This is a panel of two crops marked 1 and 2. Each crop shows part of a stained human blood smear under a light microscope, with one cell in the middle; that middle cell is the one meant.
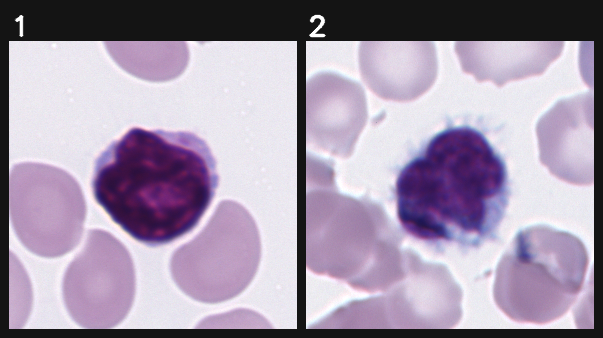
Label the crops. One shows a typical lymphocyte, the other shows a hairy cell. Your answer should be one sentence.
Crop 1 is a typical lymphocyte, and, separately, crop 2 is a hairy cell.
